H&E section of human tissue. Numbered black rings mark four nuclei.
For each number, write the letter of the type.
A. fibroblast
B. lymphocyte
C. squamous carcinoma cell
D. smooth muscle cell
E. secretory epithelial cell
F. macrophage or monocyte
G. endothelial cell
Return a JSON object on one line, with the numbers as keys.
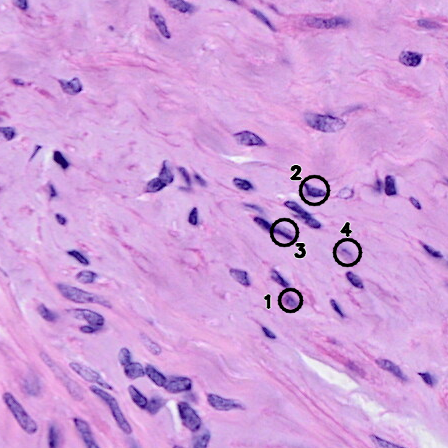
{"1": "D", "2": "A", "3": "A", "4": "A"}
